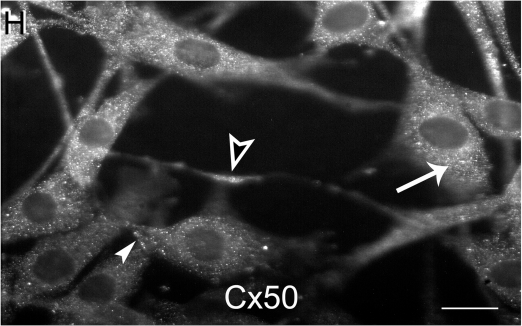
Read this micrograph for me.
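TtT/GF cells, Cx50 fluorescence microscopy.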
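These are cultured cells with flat bodies, each with an oval dark nucleus that carries no label. The cytoplasm around each nucleus is filled with a fine, dust-like granular fluorescence spread fairly evenly. Long thin cytoplasmic processes extend from the cell bodies and link neighbouring cells, and they are labelled along their length.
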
